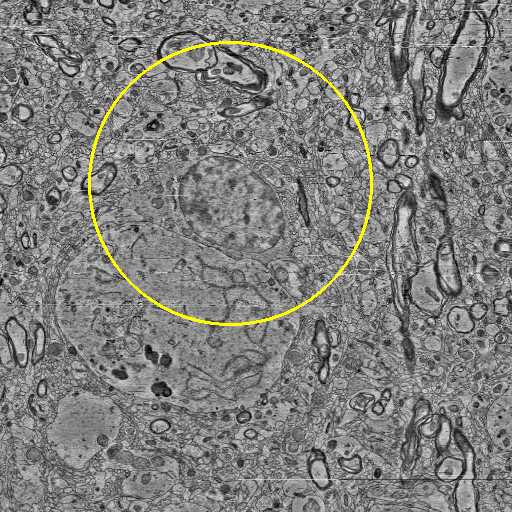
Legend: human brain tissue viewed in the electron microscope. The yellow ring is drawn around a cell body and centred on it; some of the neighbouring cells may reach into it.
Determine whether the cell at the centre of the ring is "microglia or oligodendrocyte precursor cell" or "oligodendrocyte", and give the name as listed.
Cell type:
oligodendrocyte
